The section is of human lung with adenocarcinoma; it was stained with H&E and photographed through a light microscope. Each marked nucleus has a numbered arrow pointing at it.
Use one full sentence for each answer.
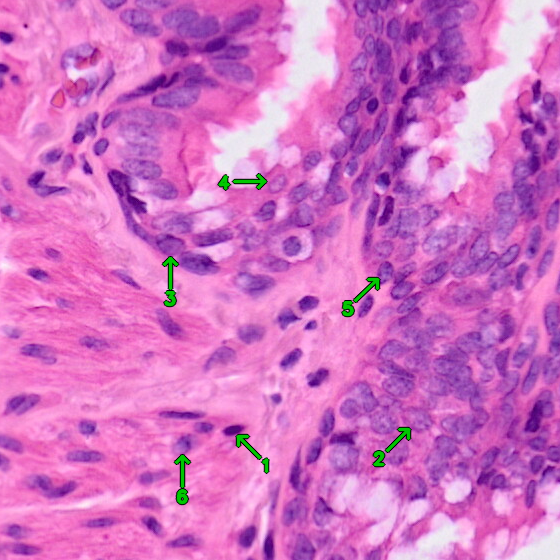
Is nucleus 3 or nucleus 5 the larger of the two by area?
Number 3 is larger; its area is about 2 times that of number 5.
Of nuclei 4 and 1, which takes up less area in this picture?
Nucleus 1 is the smaller one; nucleus 4 covers about 2 times its area.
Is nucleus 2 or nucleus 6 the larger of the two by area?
The larger nucleus is 2, at roughly 1.5 times the area of 6.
